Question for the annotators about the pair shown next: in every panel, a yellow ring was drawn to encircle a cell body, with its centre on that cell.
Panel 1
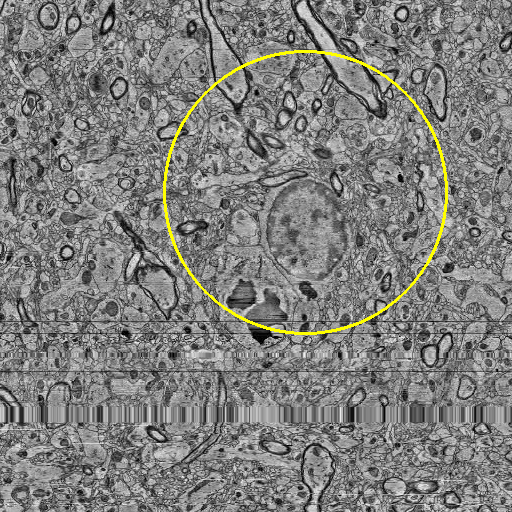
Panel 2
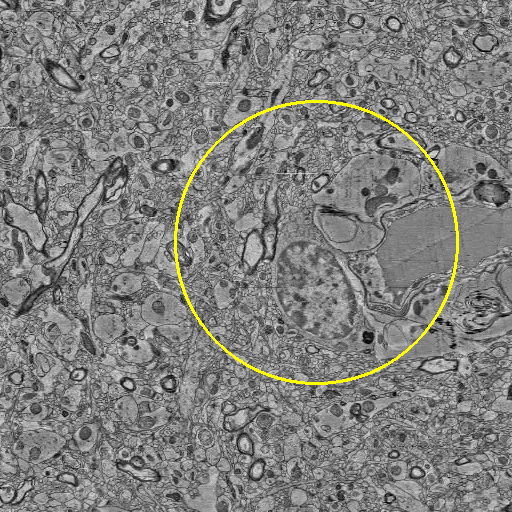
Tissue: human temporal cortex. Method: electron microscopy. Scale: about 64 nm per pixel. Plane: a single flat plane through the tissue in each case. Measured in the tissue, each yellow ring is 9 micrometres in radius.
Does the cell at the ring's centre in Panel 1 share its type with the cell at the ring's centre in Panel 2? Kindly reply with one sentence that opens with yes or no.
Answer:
Yes, in Panels 1 and 2 the cells at the ring centres belong to a single type.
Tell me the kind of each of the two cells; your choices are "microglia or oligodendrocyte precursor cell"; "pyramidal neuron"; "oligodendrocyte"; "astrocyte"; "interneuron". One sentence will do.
Each of the two rings is centred on an oligodendrocyte.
